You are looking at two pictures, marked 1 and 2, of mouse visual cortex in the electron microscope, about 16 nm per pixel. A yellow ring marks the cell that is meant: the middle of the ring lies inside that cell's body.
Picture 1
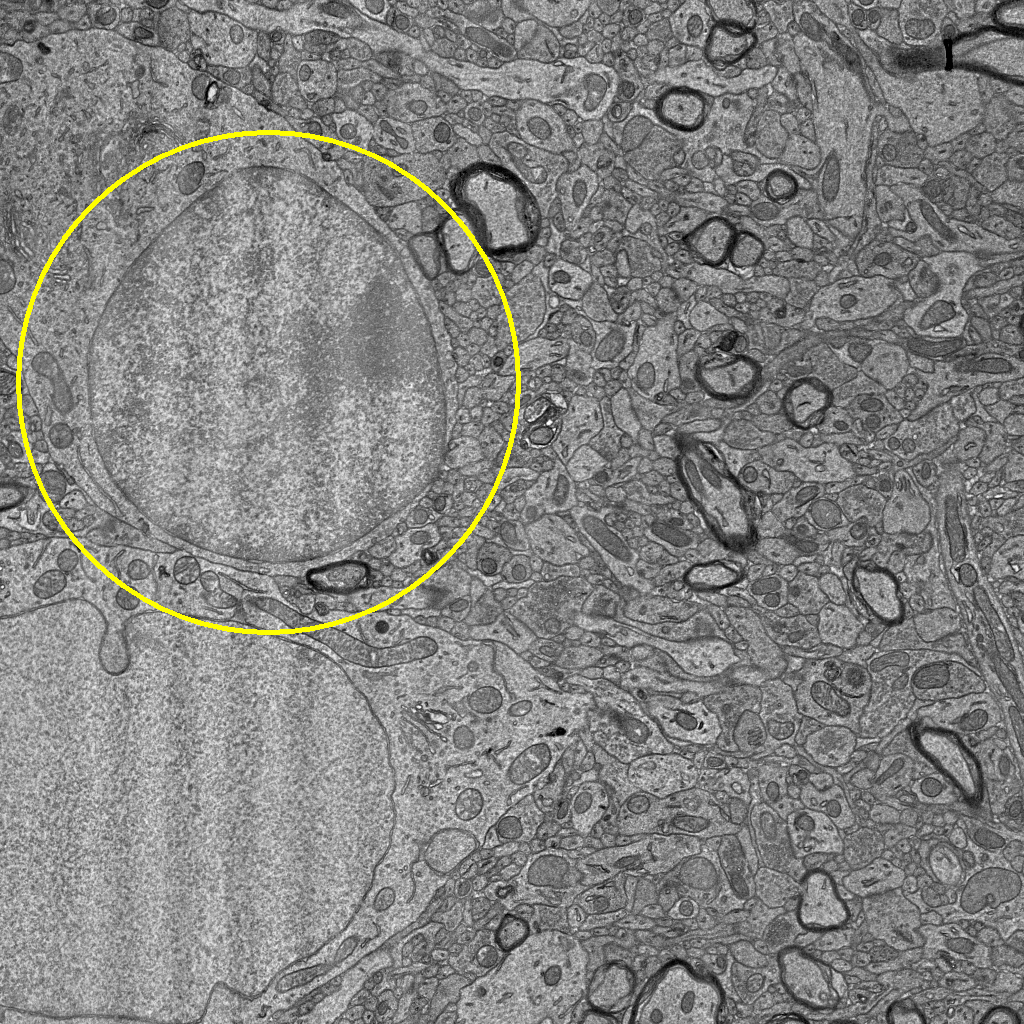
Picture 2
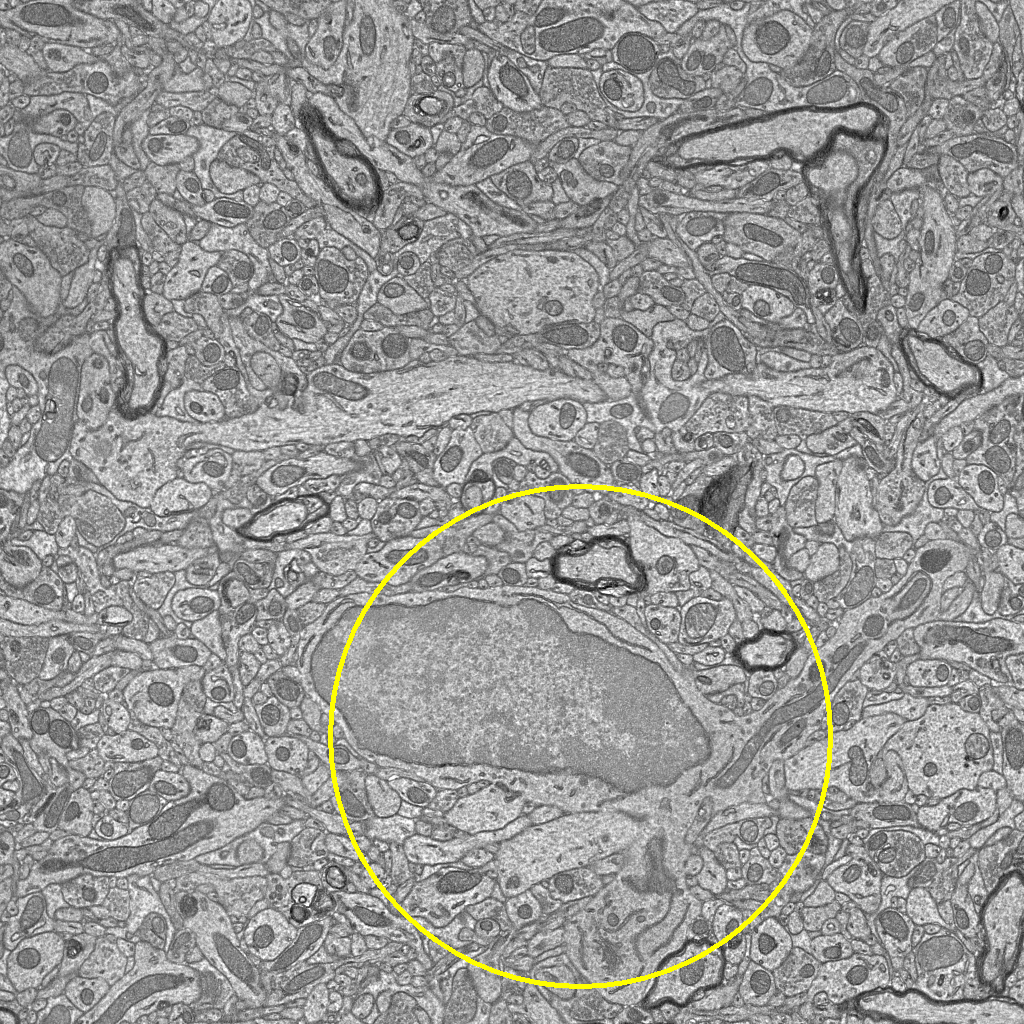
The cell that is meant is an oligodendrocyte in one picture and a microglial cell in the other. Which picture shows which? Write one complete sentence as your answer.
Picture 2 shows a microglial cell, while picture 1 shows an oligodendrocyte.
